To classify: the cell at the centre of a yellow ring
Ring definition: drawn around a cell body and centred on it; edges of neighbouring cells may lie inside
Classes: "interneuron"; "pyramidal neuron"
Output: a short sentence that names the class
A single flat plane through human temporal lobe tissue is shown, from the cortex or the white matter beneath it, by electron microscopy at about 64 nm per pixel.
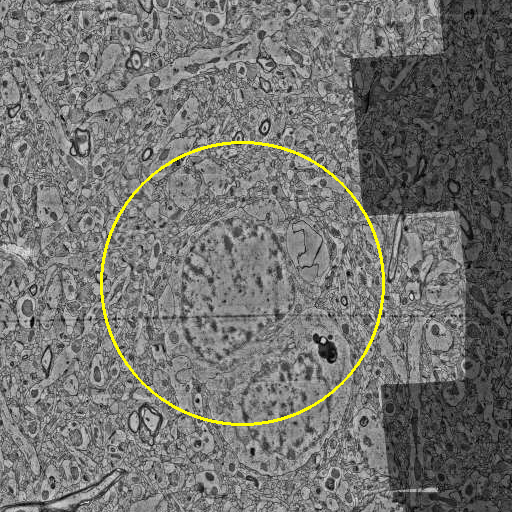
The ringed cell is an interneuron.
